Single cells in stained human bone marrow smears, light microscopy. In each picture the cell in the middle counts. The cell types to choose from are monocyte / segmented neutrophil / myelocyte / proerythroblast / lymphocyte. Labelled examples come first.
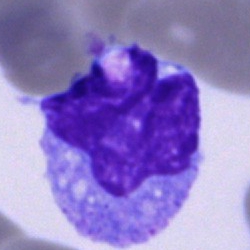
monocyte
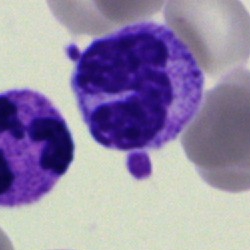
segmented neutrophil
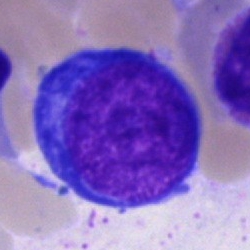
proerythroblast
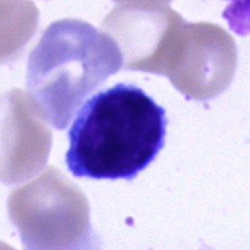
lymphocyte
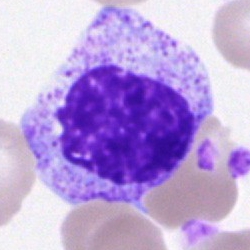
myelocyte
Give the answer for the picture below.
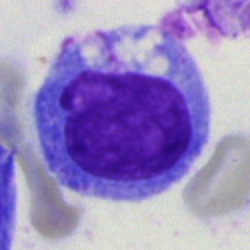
monocyte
